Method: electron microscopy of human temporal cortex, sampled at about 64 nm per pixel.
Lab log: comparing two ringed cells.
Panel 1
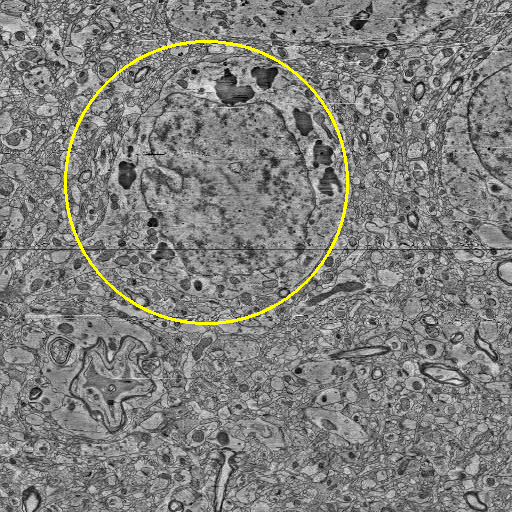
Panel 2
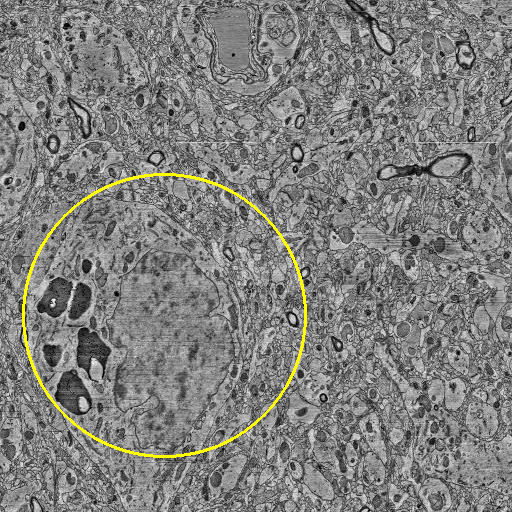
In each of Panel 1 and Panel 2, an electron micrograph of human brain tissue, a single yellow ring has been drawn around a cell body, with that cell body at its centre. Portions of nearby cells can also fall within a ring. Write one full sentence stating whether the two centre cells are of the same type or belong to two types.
The cells at the ring centres in Panel 1 and Panel 2 are of the same type.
